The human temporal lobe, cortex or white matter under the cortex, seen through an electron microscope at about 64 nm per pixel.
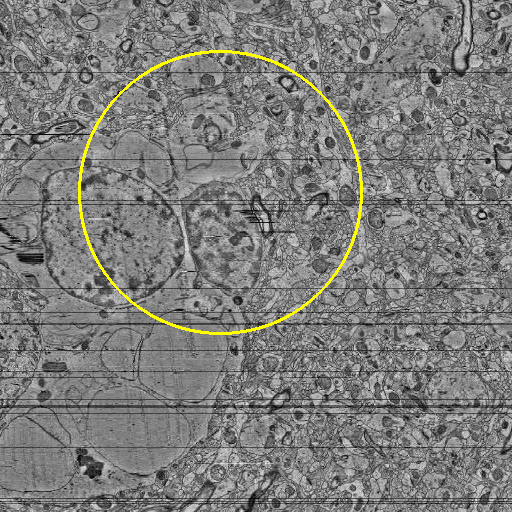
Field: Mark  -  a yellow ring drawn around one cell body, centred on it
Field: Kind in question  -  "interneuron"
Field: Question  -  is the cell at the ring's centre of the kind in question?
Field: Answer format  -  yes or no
no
